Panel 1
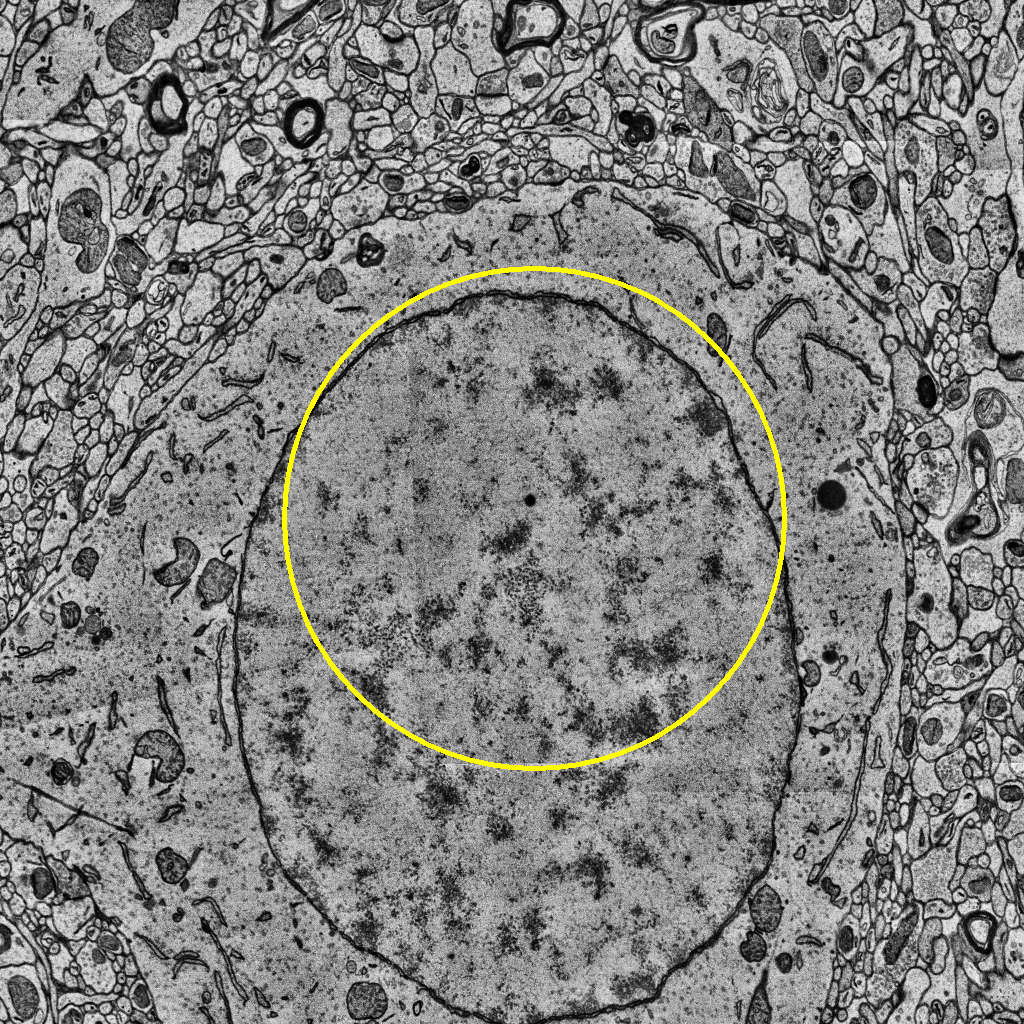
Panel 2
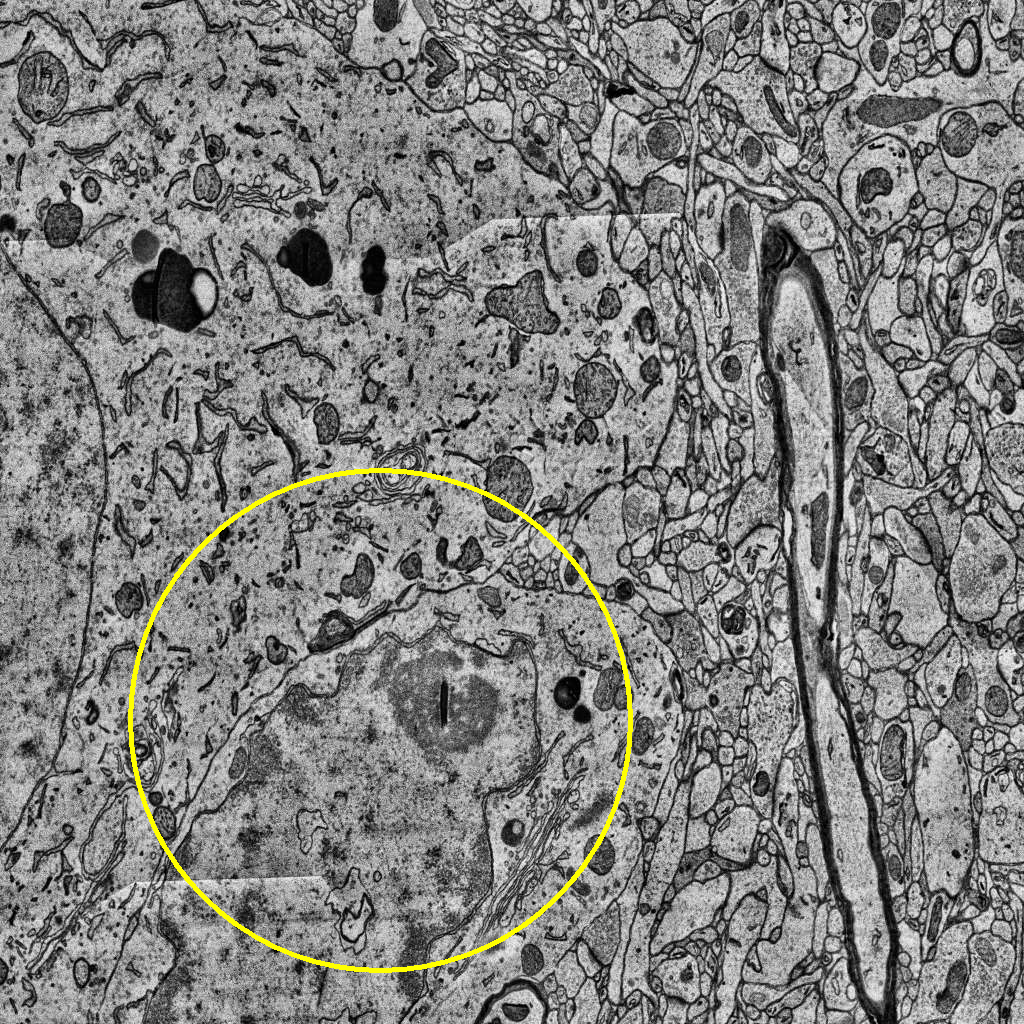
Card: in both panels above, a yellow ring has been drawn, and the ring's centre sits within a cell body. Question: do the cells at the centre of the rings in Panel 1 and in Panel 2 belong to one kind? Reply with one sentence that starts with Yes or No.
No, the cells at the ring centres of Panel 1 and Panel 2 are two kinds of cell.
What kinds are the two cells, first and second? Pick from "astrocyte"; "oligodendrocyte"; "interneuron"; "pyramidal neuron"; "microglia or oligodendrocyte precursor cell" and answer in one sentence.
The second cell is an interneuron, while the first is a pyramidal neuron.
